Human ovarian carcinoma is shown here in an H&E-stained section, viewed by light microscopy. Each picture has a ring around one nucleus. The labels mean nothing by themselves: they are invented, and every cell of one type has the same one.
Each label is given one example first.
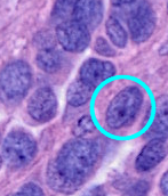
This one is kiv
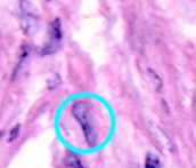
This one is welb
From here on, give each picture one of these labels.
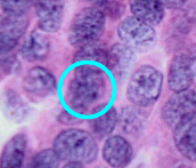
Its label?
kiv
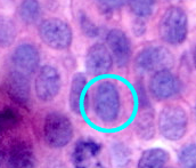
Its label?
kiv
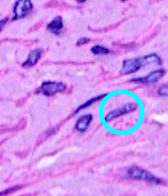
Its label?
welb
